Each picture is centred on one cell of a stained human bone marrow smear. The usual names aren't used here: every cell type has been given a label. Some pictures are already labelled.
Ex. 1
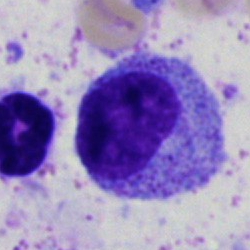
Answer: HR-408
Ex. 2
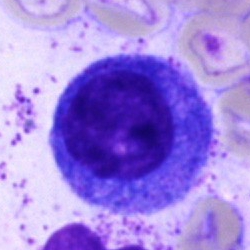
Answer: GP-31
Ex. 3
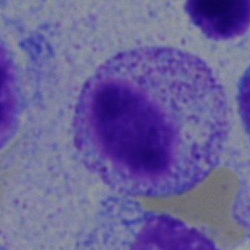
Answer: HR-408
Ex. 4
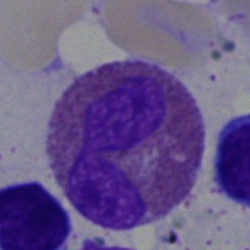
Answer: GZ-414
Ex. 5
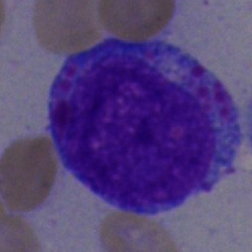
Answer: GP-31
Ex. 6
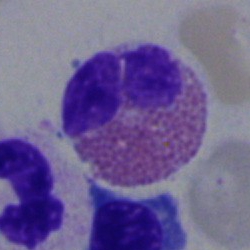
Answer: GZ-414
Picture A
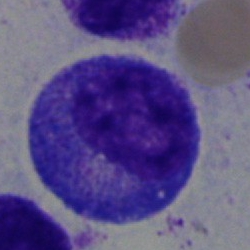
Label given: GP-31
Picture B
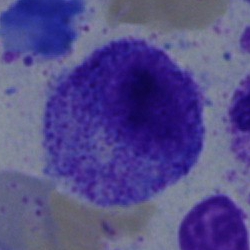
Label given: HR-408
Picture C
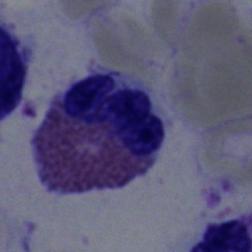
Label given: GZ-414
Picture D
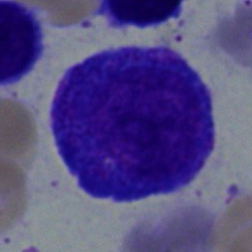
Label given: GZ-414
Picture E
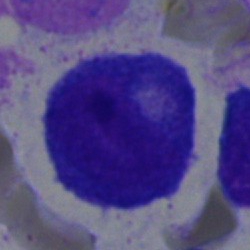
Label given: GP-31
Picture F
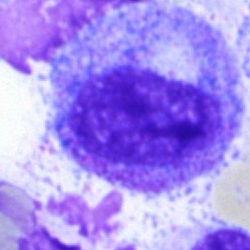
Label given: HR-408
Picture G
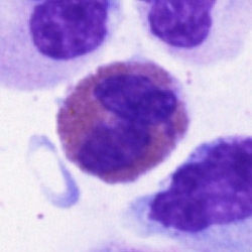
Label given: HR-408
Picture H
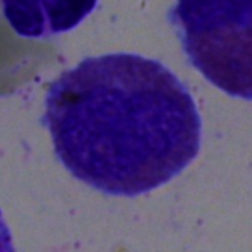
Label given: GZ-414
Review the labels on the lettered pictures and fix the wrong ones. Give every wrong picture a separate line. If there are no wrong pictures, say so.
D: GP-31, not GZ-414
G: GZ-414, not HR-408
